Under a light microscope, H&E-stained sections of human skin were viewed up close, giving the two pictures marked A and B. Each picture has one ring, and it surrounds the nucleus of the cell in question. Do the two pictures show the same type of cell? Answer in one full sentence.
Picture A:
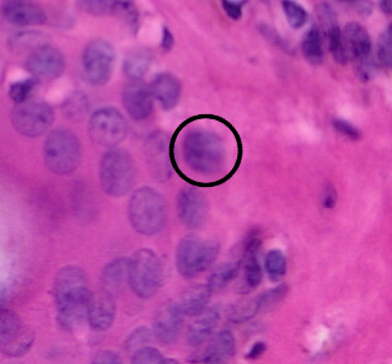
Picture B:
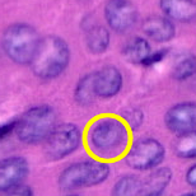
No. Picture A shows a basal keratinocyte, but picture B shows a suprabasal keratinocyte.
